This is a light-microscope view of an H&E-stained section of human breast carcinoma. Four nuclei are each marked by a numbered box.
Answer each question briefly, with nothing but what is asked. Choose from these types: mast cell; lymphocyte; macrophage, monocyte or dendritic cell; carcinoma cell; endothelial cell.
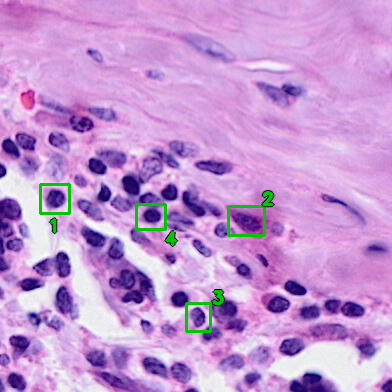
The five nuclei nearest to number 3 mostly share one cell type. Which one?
lymphocyte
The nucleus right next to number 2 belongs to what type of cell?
lymphocyte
